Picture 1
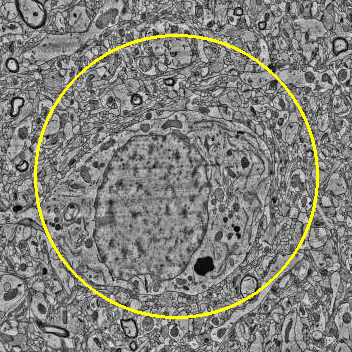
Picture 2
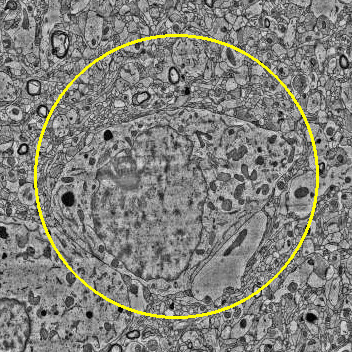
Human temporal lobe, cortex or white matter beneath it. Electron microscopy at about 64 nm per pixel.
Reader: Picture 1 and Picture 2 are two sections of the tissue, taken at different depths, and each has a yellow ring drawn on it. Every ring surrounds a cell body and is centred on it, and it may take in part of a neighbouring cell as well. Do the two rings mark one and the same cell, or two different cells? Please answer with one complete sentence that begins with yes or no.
Yes, both rings are placed on a single cell.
